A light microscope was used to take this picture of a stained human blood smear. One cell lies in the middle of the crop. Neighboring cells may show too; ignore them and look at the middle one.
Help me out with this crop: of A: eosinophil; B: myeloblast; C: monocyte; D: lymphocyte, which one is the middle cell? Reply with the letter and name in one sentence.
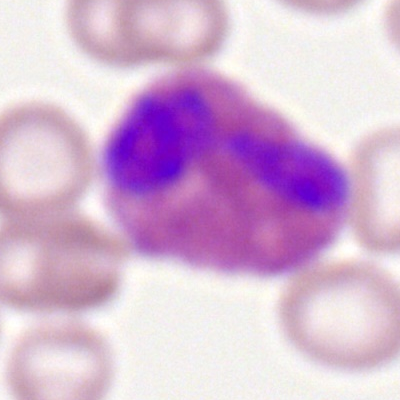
Option A gives the correct identity of the central cell, namely an eosinophil.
